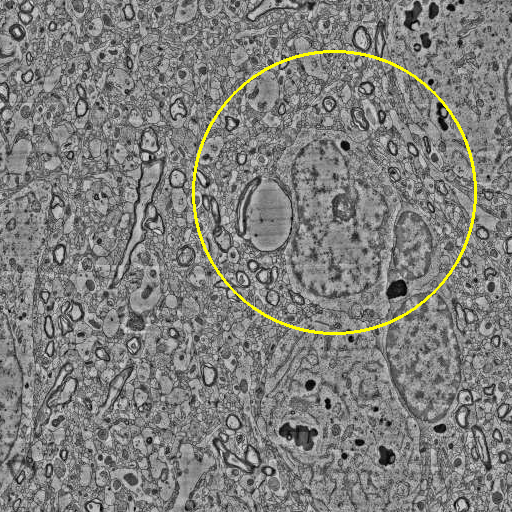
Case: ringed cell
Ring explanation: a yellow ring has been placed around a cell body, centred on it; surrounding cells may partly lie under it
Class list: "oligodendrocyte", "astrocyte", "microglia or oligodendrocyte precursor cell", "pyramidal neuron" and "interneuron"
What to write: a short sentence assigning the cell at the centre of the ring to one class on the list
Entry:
The cell at the ring's centre is an interneuron.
